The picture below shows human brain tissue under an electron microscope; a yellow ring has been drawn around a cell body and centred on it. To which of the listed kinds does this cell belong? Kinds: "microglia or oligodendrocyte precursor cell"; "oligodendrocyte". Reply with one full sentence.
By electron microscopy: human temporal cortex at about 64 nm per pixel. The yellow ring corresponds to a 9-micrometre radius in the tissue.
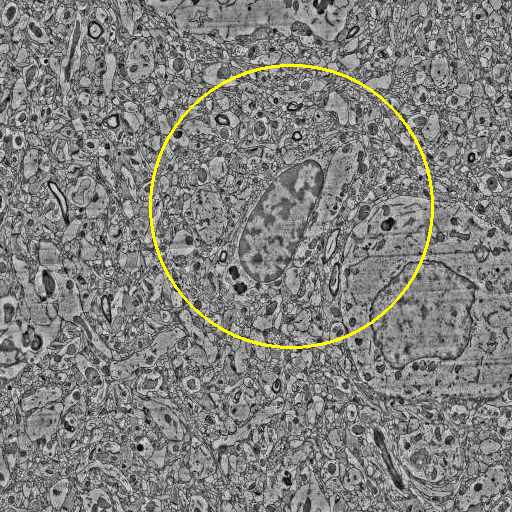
It is a microglial cell or oligodendrocyte precursor cell that the yellow ring in the picture is centred on.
